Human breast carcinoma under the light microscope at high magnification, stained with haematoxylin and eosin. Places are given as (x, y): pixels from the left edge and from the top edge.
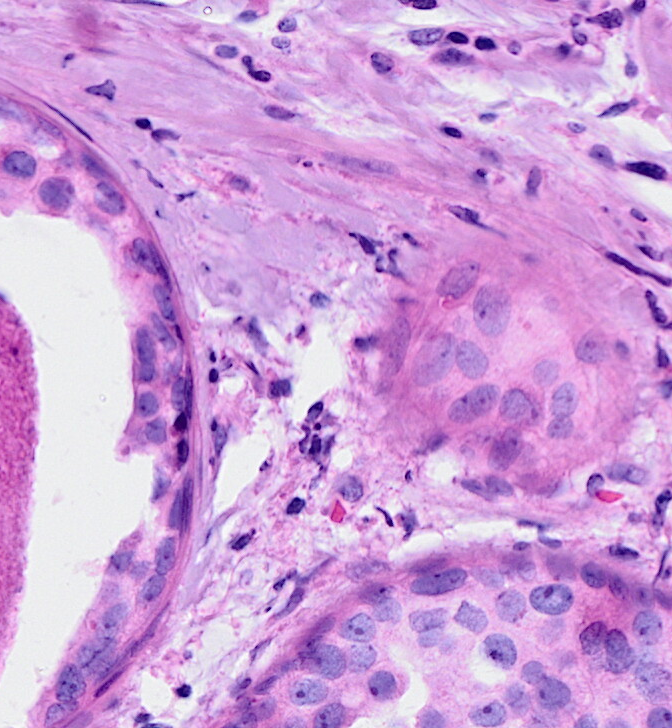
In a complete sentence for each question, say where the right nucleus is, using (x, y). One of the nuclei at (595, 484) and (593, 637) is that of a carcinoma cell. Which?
Which one belongs to a carcinoma cell? The nucleus at (593, 637) does.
